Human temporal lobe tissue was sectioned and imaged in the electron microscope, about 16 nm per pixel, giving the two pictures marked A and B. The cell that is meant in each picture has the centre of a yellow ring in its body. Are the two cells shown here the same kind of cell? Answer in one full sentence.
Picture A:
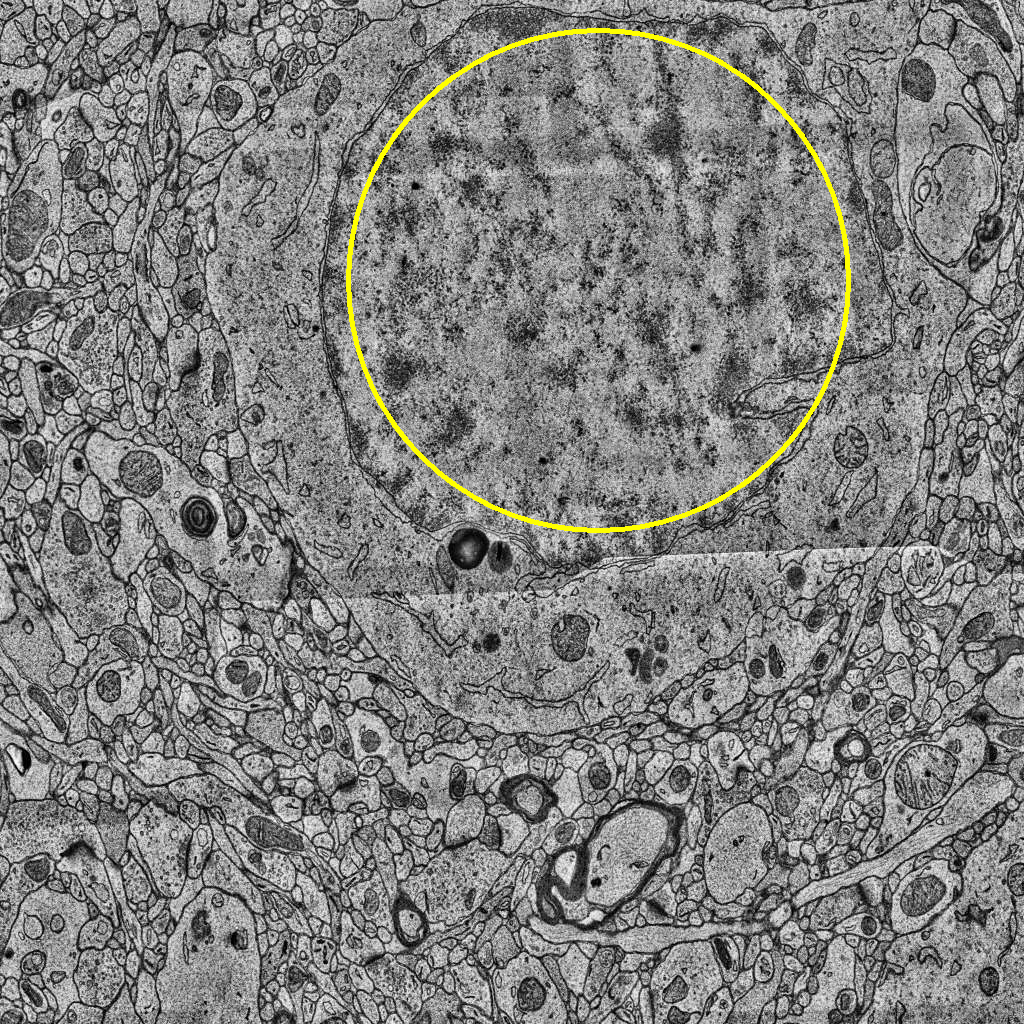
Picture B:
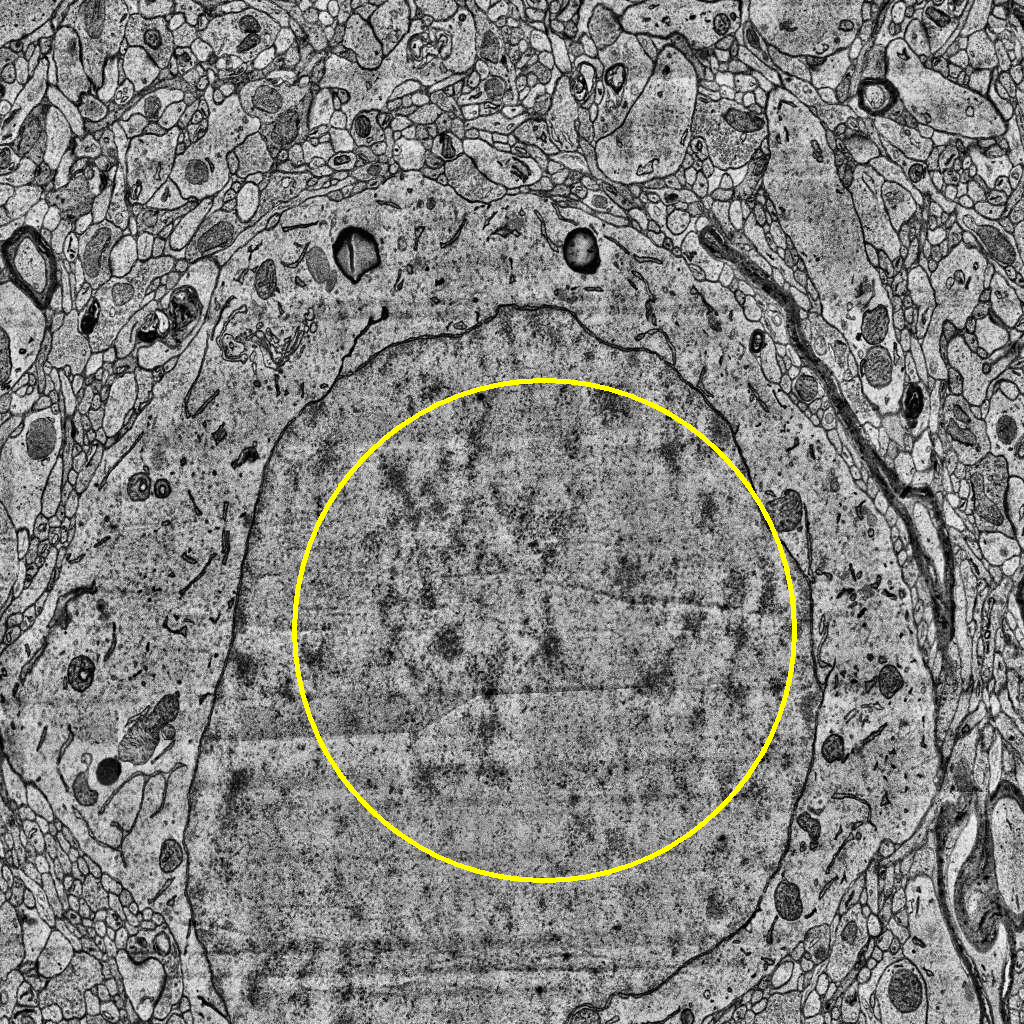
No, the types are not the same, since picture A shows an interneuron and picture B a pyramidal neuron.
